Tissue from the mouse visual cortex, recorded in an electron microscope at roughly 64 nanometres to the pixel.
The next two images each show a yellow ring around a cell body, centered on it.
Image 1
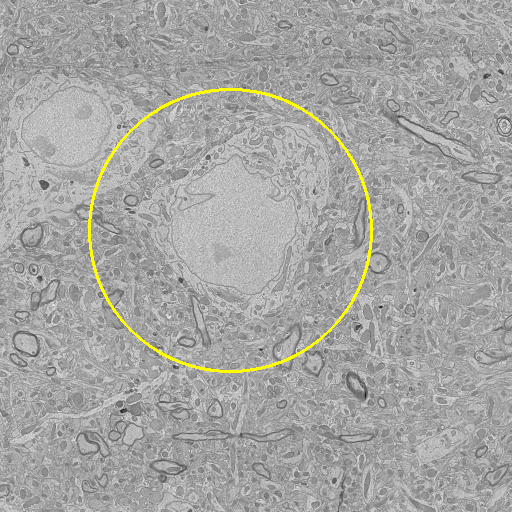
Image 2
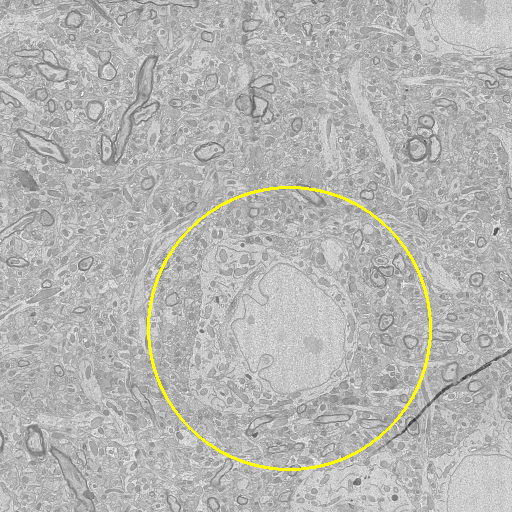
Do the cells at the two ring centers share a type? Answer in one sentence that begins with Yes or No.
Yes, across the two images the cells at the ring centers share one type.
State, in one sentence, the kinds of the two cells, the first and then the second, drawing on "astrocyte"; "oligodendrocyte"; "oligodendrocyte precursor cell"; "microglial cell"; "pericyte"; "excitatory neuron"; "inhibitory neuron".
The second cell is an inhibitory neuron, just as the first is.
